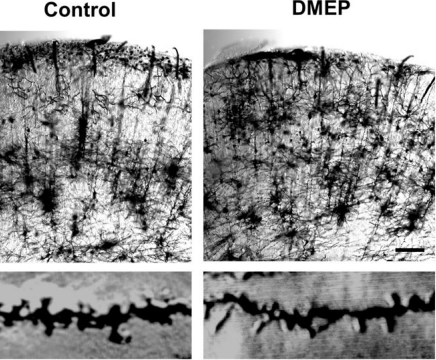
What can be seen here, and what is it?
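Golgi-impregnated cerebral cortex shows scattered neurons stained solid black against a pale background, with cell bodies giving off long dendrites that run roughly perpendicular to the cortical surface at the top. At high magnification, single dendrite segments appear as black shafts studded with many small protrusions, the dendritic spines, some thin and elongated and others short with rounded heads.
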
